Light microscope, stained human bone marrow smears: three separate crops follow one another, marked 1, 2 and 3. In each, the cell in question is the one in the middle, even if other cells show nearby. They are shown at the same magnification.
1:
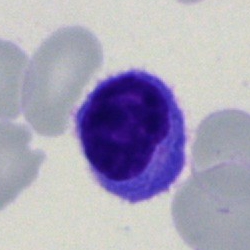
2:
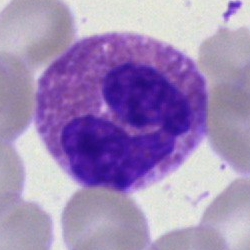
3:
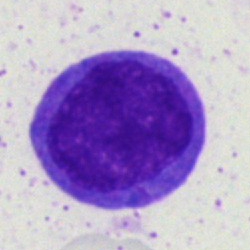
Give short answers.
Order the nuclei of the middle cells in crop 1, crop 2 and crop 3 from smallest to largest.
1, 2, 3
